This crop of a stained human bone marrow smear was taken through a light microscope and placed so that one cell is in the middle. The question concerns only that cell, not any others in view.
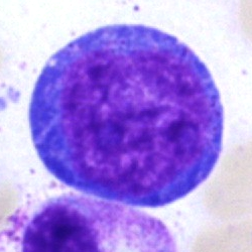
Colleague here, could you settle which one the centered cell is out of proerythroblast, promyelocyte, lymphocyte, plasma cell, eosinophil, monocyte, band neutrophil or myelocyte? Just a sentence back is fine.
The centrally placed cell is classified as a proerythroblast.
